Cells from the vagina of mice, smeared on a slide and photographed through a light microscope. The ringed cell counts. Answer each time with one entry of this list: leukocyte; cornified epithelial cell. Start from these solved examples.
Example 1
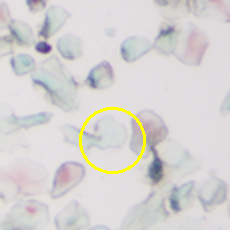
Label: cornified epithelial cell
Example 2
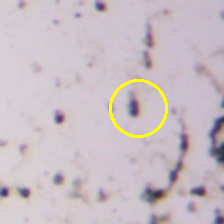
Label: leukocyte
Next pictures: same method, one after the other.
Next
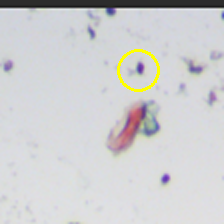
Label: leukocyte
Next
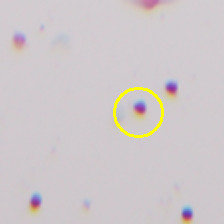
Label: leukocyte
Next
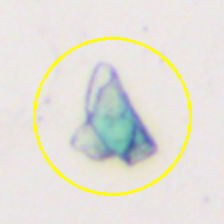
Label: cornified epithelial cell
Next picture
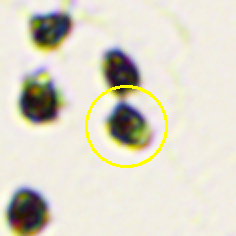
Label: leukocyte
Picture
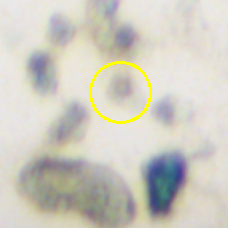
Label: leukocyte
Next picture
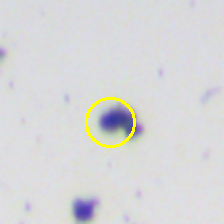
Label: leukocyte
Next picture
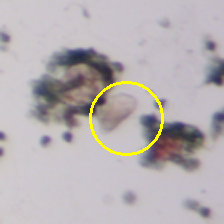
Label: cornified epithelial cell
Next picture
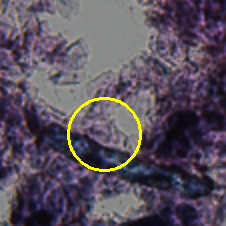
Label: cornified epithelial cell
